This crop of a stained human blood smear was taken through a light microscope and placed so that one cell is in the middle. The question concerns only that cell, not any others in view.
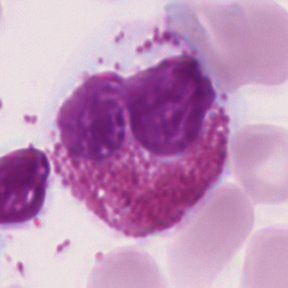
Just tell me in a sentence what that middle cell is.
On this slide crop, the central cell is an eosinophil.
